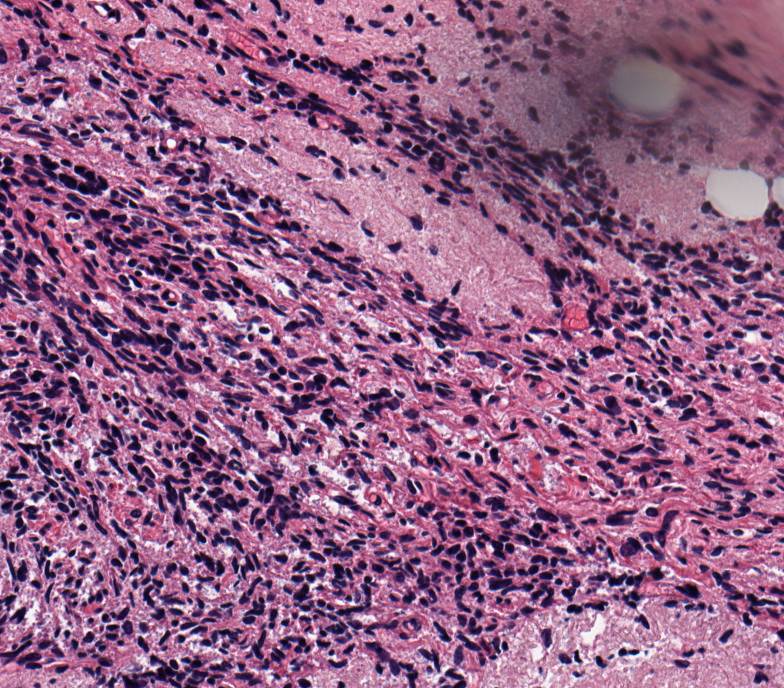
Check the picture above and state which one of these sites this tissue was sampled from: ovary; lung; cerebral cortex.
ovary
